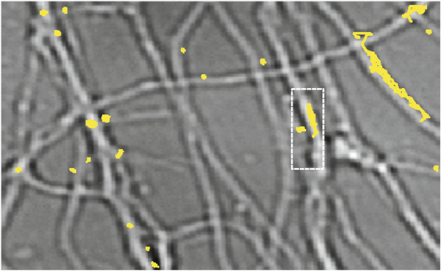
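A dense mesh of thin, smooth neuronal processes from cultured neurons crosses the field in many directions, with several running in parallel bundles. The processes appear in relief, with bright and dark edges typical of differential interference contrast, and some carry small swellings along their length. Between the processes lie broad, flat, featureless areas of the dish or an underlying flat cell. Yellow traces lie along and on top of the processes, some as short compact clusters and some as longer streaks following the course of a process. A dashed white box frames one elongated trace lying on a process.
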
